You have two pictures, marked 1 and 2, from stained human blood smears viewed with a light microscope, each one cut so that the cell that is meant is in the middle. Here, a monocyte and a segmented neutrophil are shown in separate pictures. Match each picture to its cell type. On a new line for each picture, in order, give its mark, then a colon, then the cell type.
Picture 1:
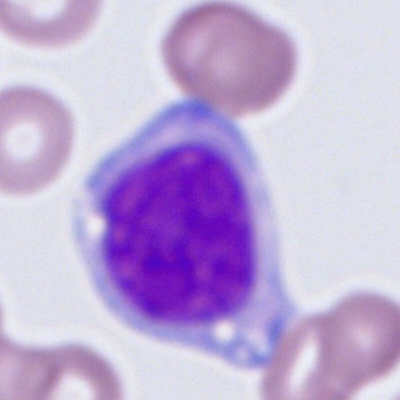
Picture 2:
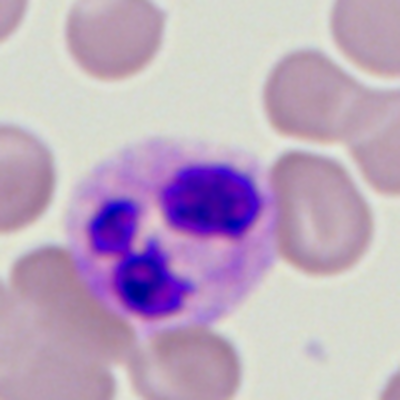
1: monocyte
2: segmented neutrophil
